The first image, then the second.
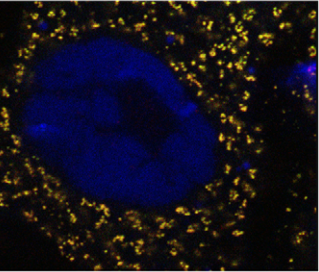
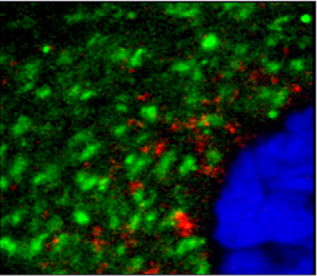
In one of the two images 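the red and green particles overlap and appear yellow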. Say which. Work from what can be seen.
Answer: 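Second image: green bodies and red specks lie side by side, mostly separate. First image: nearly all particles in the cytoplasm appear yellow. So: the first image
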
